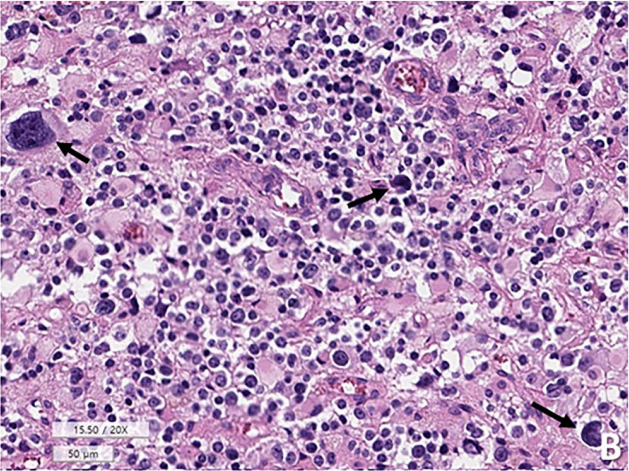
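Among the small round tumor cells here lie scattered much larger cells whose nuclei are irregular, enlarged and very dark, pointed out by arrows. Several tumor cells also carry broad, glassy pink cytoplasm with the nucleus pushed to one side, unlike the clear-haloed round cells around them.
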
